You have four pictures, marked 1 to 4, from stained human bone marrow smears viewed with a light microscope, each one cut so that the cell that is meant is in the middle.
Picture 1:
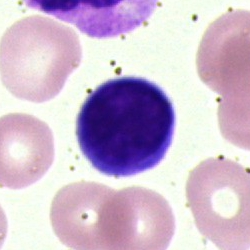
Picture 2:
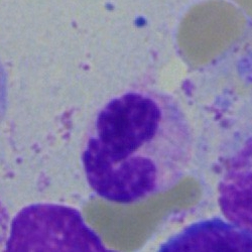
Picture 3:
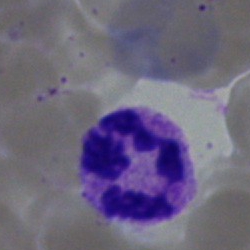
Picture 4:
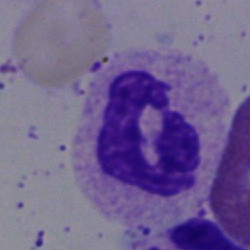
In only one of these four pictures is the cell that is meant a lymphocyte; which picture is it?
1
